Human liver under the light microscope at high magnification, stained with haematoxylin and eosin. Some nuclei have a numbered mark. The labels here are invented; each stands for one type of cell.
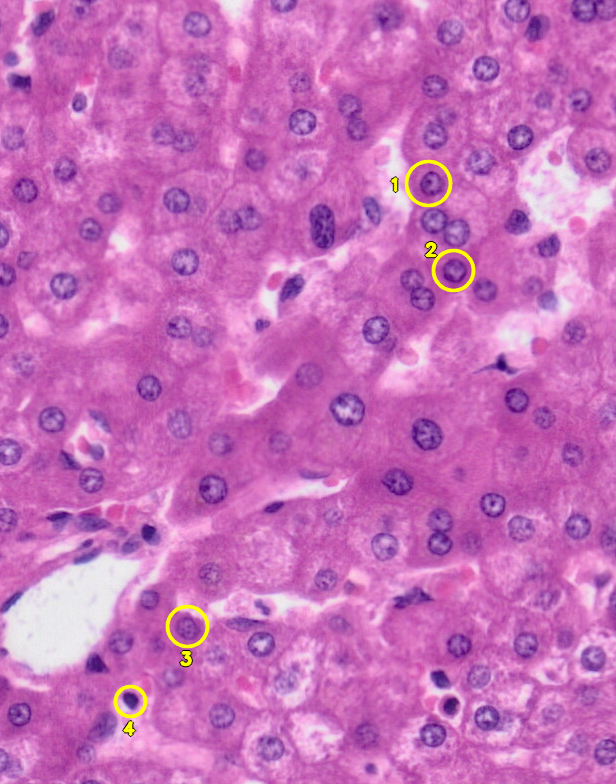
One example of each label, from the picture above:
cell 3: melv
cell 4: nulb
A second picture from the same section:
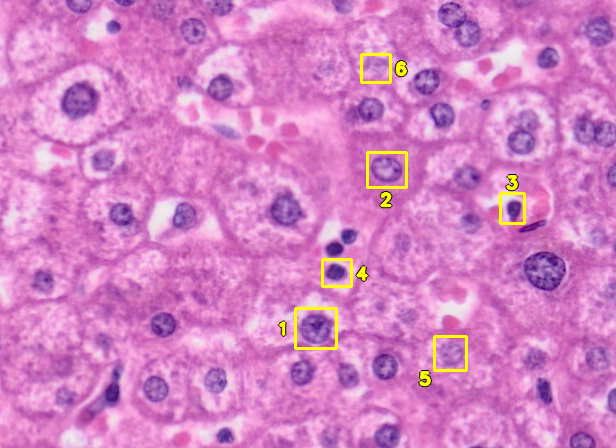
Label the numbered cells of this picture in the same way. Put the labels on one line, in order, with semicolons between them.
melv; melv; nulb; nulb; melv; melv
